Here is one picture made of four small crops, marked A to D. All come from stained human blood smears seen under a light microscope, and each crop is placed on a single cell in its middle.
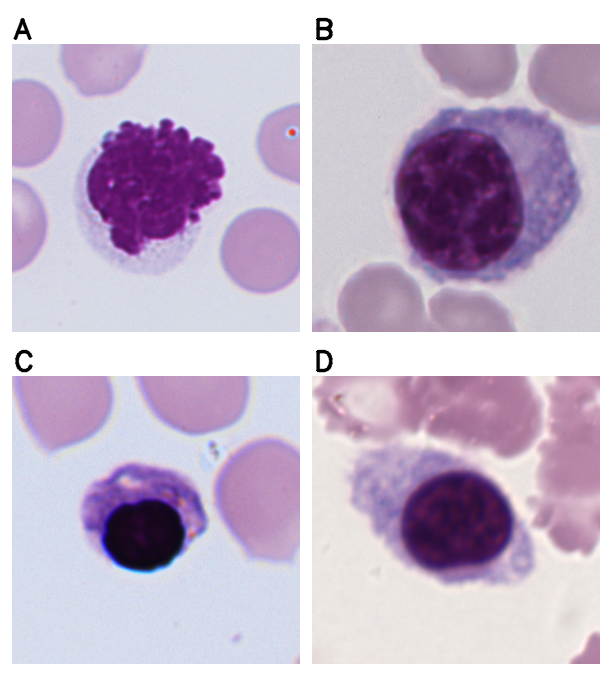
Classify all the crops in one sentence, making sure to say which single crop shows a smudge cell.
Crop A goes down as a smudge cell, while crop B is a plasma cell, crop C is an erythroblast and crop D is a hairy cell.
